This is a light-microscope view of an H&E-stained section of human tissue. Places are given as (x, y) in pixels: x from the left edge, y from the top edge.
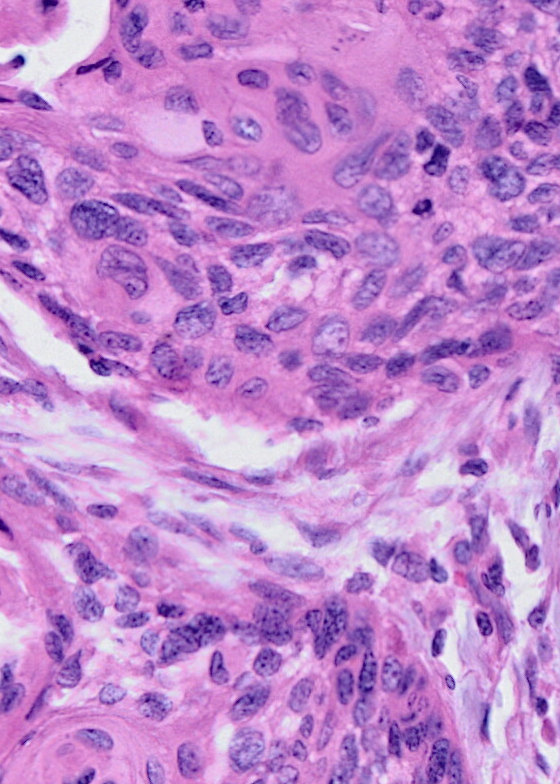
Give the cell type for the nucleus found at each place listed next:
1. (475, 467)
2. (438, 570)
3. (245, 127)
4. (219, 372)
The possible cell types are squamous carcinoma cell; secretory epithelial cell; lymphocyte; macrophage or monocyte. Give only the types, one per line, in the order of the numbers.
lymphocyte
lymphocyte
squamous carcinoma cell
squamous carcinoma cell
